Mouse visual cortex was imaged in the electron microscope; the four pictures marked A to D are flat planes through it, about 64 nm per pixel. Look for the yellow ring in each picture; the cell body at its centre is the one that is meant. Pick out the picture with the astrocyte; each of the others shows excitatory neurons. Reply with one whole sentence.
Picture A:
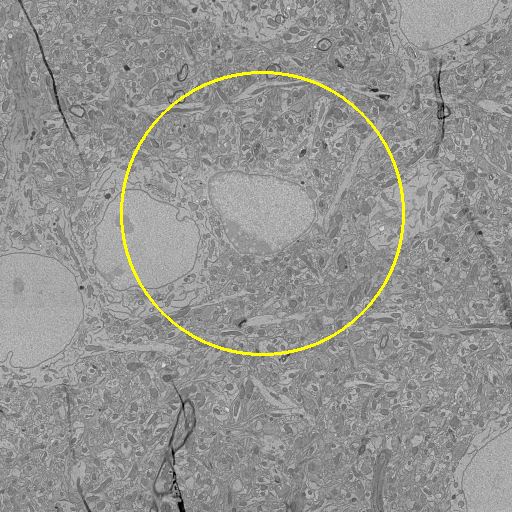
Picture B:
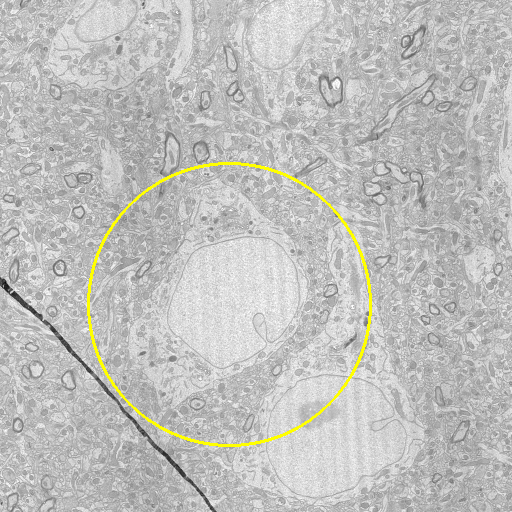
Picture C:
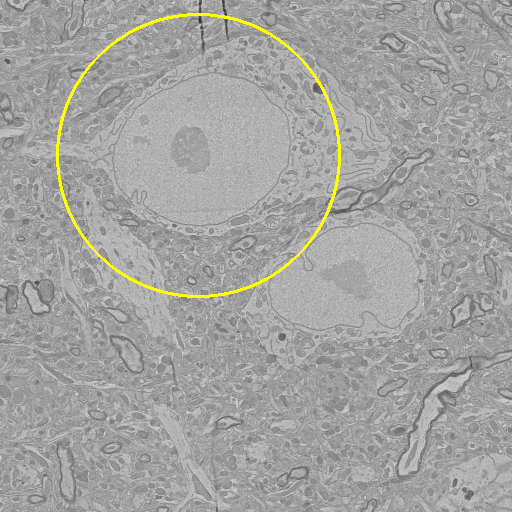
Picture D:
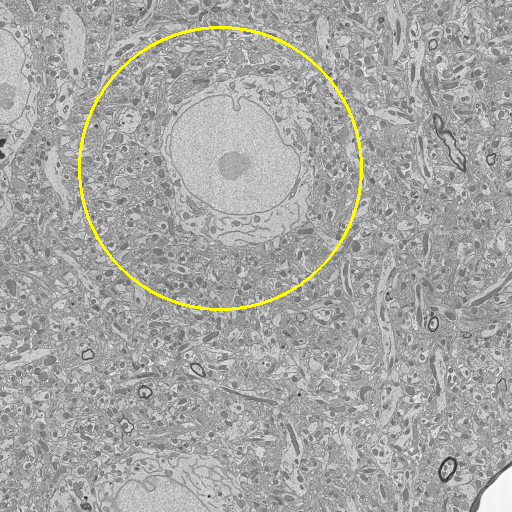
Picture A shows the astrocyte.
